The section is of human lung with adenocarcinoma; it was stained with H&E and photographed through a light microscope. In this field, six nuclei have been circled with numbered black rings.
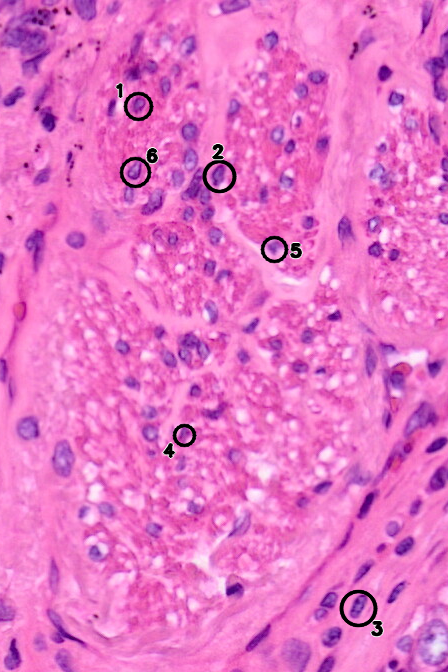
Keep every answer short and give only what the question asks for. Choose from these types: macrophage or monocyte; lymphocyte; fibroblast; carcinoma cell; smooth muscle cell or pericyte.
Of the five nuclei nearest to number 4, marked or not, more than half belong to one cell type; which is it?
smooth muscle cell or pericyte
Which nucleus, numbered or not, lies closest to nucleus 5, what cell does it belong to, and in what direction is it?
a smooth muscle cell or pericyte above and to the right of nucleus 5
